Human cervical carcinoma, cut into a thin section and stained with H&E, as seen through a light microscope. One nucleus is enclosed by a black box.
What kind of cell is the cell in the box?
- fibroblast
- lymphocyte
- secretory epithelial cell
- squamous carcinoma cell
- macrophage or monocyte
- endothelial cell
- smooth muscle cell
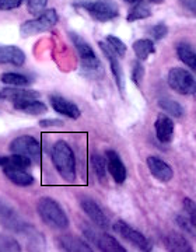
secretory epithelial cell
